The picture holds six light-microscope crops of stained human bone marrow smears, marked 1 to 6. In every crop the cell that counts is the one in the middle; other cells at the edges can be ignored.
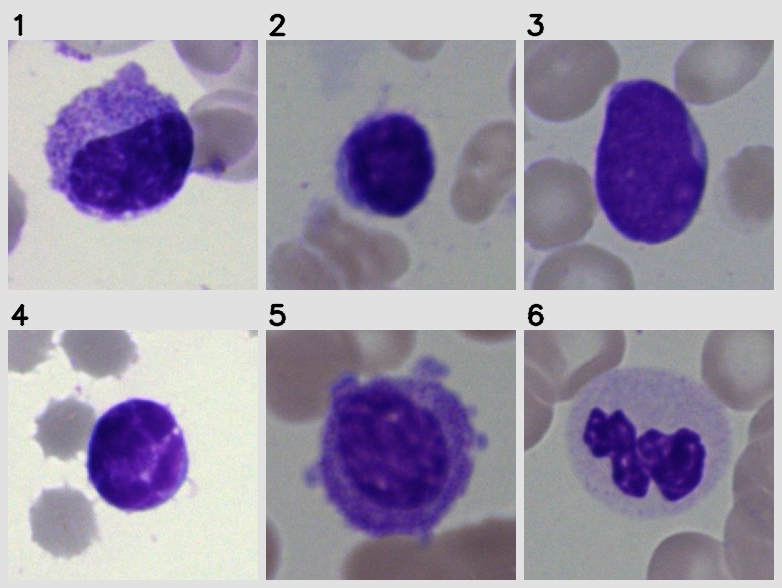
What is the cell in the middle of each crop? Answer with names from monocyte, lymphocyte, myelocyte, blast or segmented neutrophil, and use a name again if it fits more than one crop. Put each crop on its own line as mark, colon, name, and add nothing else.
1: myelocyte
2: lymphocyte
3: blast
4: lymphocyte
5: myelocyte
6: segmented neutrophil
